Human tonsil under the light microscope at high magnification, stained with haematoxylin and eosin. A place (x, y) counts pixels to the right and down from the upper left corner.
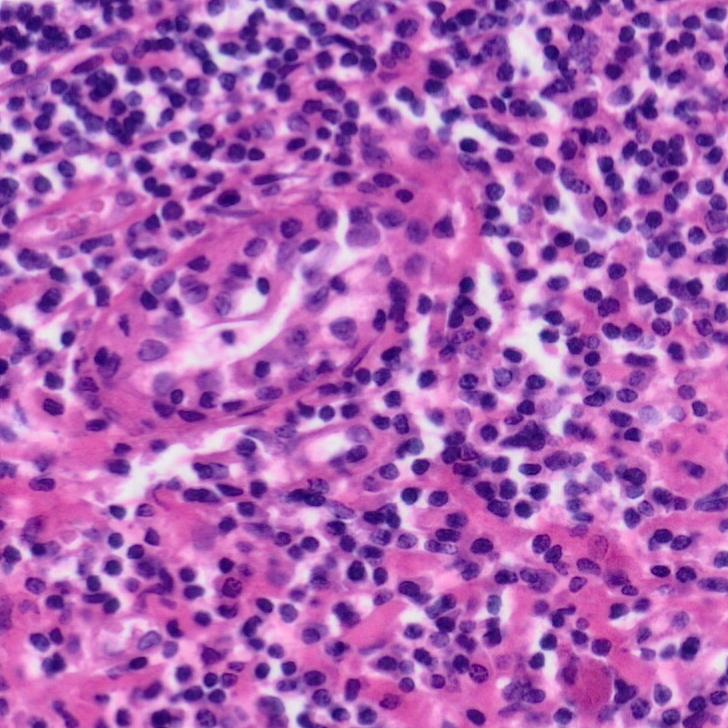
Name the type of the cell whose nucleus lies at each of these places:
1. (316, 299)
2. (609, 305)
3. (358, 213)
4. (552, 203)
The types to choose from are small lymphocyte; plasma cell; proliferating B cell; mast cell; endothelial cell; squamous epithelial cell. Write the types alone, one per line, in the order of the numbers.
squamous epithelial cell
plasma cell
squamous epithelial cell
plasma cell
